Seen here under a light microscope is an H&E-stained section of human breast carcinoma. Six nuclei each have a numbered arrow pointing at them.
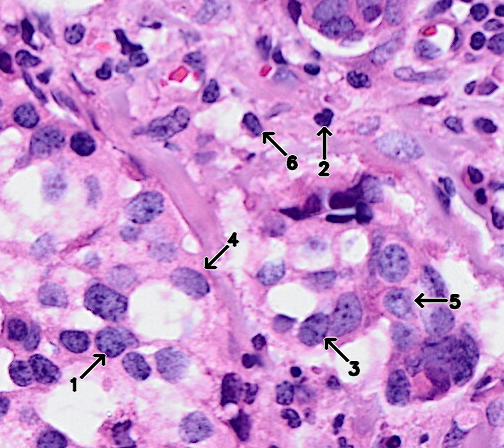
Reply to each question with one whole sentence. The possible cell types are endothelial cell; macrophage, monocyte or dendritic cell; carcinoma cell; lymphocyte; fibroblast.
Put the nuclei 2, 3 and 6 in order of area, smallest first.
Smallest first, the nuclei run 2, 6, 3.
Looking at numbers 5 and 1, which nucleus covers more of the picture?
Nucleus 1 is the larger one, covering about 2 times the area of nucleus 5.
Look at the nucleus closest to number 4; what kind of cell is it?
Number 4 lies closest to the nucleus of a carcinoma cell.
